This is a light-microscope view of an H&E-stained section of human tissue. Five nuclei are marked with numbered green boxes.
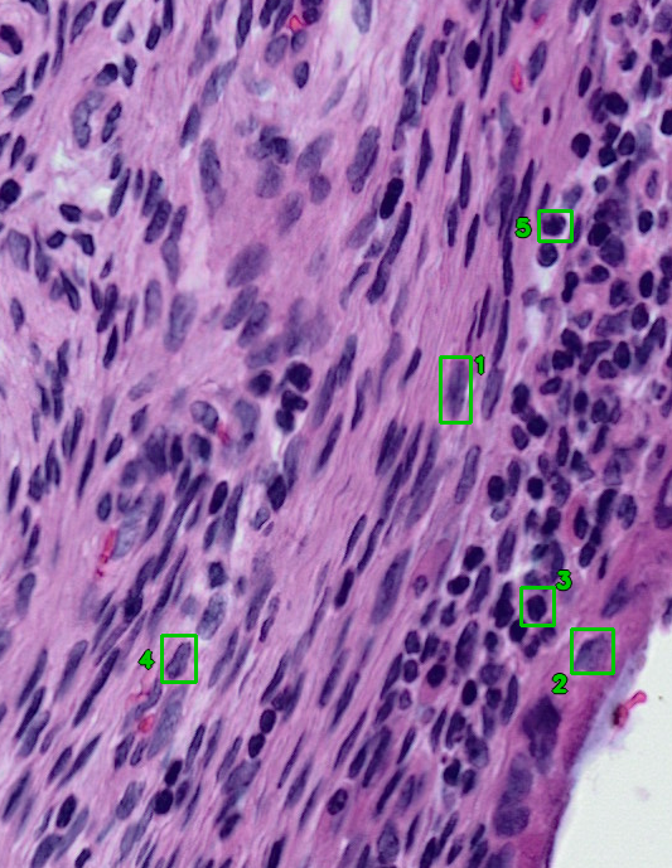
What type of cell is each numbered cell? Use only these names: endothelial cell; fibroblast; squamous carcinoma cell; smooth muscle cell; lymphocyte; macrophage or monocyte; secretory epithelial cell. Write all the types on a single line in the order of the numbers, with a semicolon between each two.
fibroblast; secretory epithelial cell; lymphocyte; endothelial cell; lymphocyte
